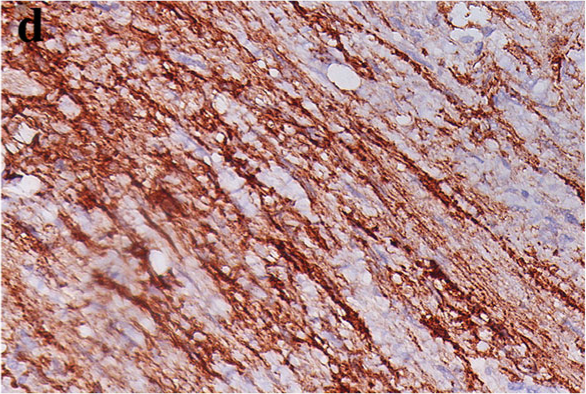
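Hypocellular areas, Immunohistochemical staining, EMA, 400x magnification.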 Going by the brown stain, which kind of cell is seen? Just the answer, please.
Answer: Elongated spindle cells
